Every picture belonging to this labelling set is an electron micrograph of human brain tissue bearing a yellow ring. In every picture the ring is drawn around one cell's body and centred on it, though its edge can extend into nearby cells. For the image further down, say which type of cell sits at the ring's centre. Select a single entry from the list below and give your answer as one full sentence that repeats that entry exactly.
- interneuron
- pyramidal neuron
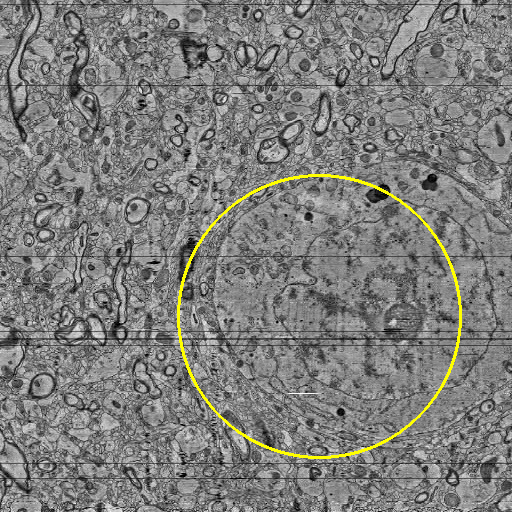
In the picture, a pyramidal neuron is the cell at the centre of the yellow ring.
